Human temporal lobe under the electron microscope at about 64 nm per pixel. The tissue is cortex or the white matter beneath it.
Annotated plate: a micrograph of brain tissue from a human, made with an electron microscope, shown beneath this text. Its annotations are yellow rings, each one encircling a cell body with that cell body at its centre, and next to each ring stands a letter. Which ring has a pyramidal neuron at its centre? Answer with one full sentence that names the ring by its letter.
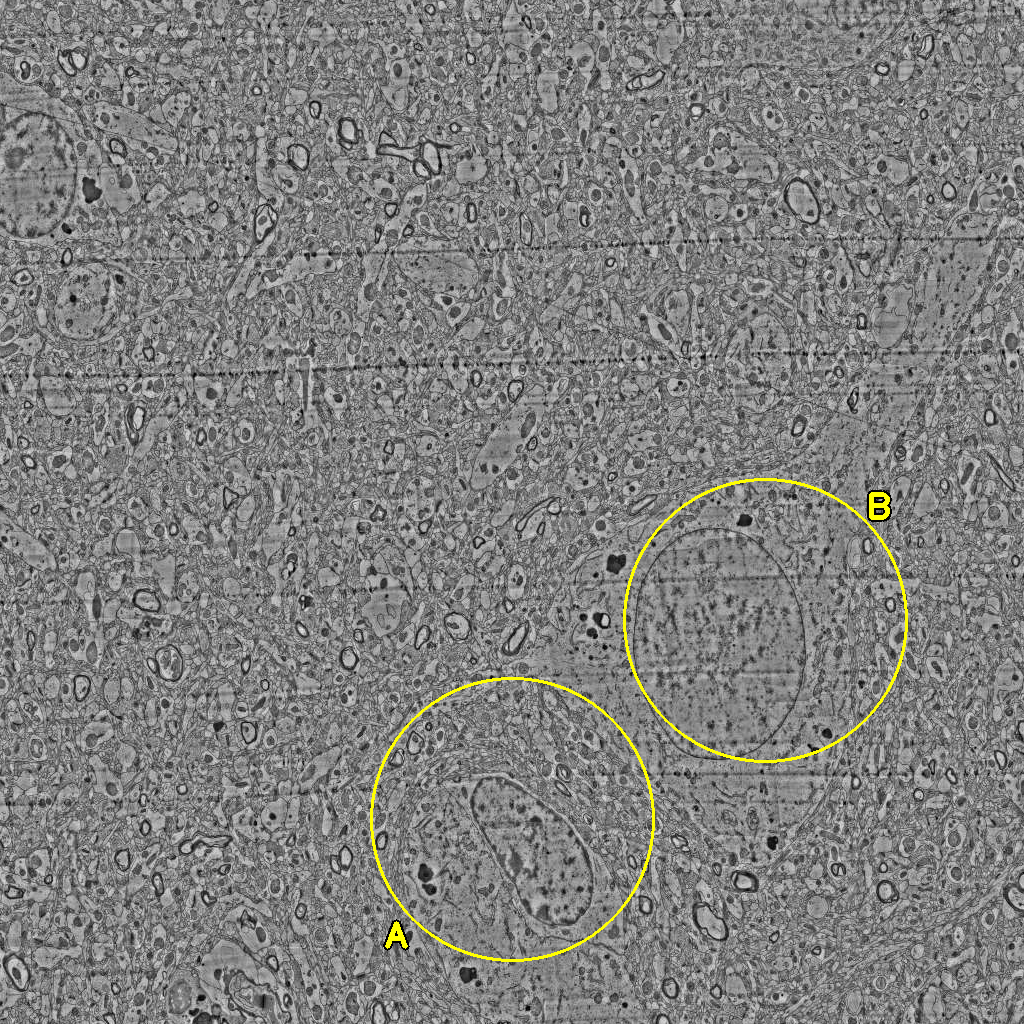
In the plate, ring B is the one centred on a cell of that kind.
